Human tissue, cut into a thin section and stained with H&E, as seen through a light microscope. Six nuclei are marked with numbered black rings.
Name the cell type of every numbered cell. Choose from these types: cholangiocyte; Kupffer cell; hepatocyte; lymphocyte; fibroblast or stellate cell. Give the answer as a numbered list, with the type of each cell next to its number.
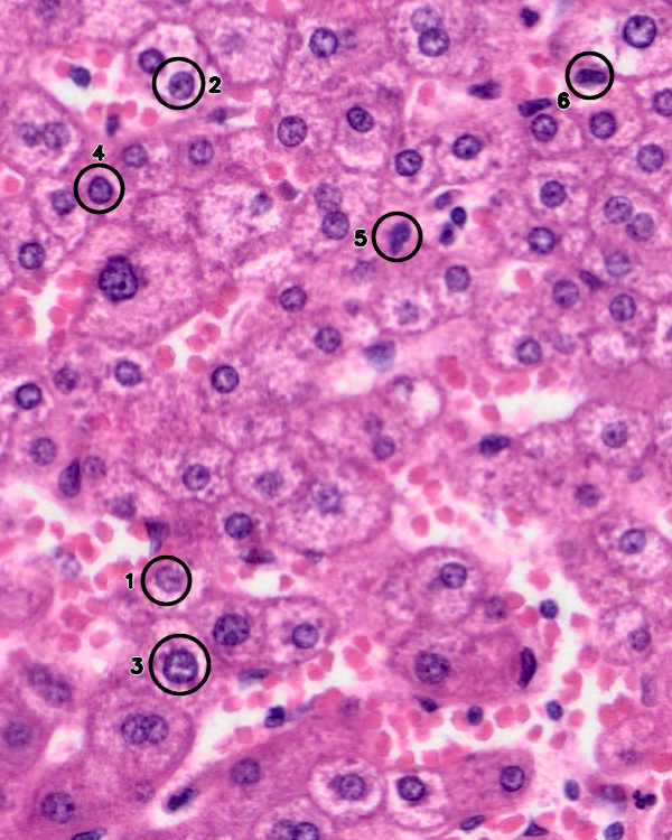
1. hepatocyte
2. hepatocyte
3. hepatocyte
4. hepatocyte
5. fibroblast or stellate cell
6. Kupffer cell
